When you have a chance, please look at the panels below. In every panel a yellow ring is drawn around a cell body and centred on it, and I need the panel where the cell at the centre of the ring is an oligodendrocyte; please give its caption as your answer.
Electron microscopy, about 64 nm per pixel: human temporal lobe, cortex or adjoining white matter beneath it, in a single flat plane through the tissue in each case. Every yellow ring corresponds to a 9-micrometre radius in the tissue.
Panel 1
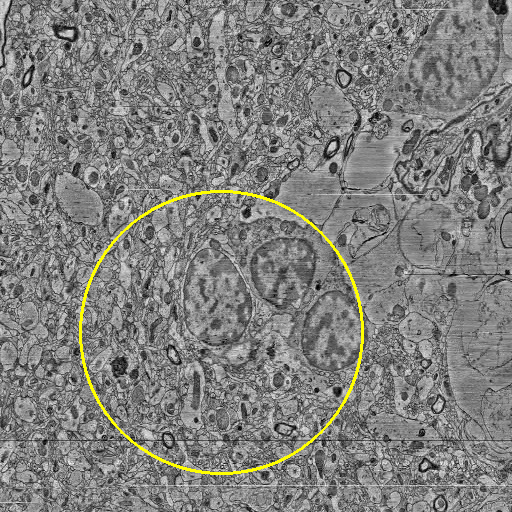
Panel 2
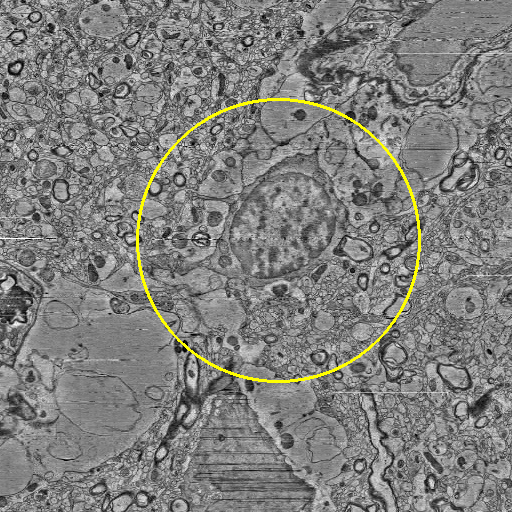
Panel 2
